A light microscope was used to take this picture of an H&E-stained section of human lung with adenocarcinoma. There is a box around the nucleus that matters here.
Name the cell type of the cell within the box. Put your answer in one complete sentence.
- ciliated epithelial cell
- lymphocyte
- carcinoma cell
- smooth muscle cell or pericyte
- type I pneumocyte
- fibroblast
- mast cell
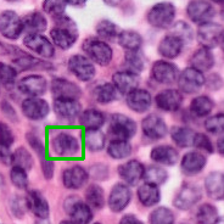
The correct response here is that the cell within the box is a lymphocyte.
